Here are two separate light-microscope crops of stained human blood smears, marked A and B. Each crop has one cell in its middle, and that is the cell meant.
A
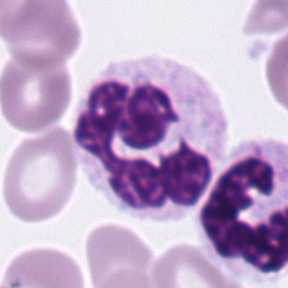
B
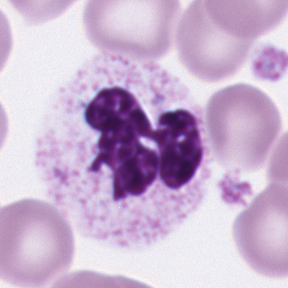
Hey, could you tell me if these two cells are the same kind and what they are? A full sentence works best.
Yes, the two crops show neutrophils at their centres.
